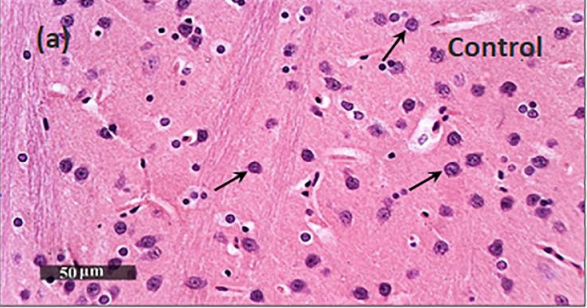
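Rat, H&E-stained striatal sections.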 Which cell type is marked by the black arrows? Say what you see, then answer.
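Intact neurons. A rim of cytoplasm surrounds each marked nucleus. The surrounding pink neuropil is even and not vacuolated.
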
